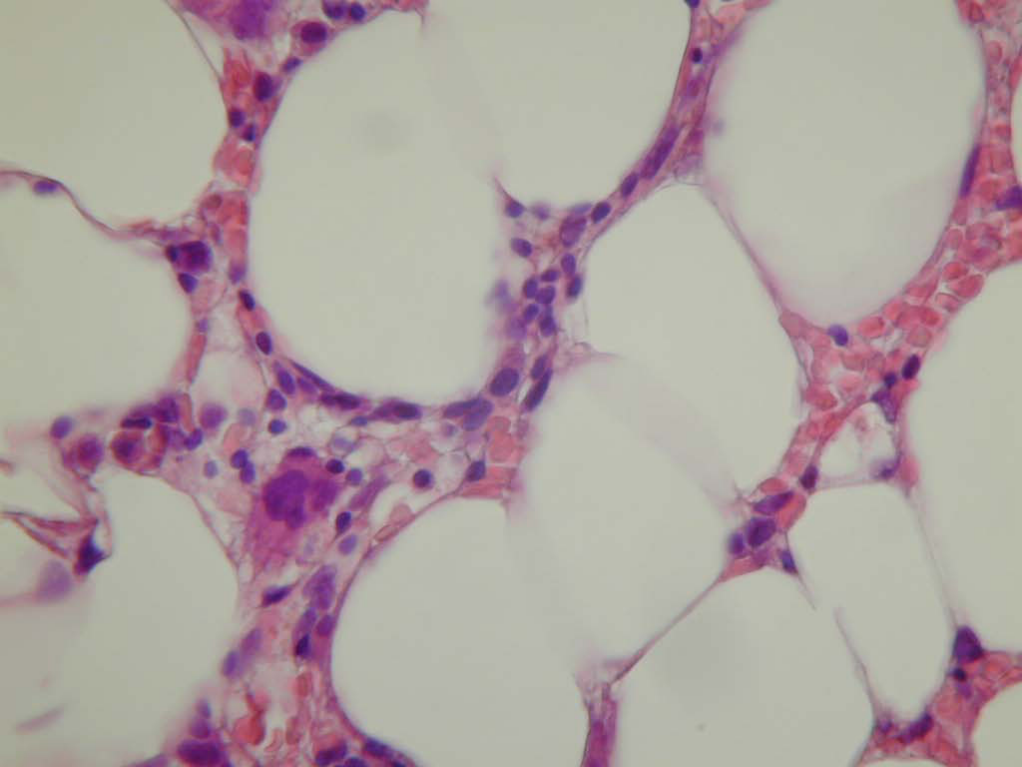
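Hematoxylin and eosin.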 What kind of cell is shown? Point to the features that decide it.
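One cell in the lower left-centre is much larger than all the others. Its nucleus is dark purple and lobulated. It has a broad rim of pink cytoplasm. That points to this answer: megakaryocyte.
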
